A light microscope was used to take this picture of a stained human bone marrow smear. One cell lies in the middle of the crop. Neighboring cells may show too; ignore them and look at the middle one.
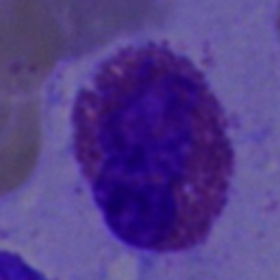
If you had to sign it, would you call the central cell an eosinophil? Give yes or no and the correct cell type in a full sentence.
Yes, what sits in the middle of the crop is an eosinophil.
